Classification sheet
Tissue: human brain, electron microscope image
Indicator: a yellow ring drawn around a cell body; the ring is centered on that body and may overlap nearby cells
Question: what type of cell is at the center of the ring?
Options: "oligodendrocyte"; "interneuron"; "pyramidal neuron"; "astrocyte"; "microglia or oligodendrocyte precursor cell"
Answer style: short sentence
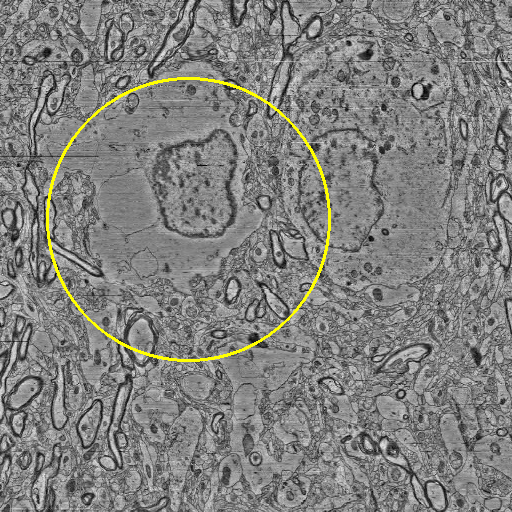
At the ring's center is an astrocyte.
